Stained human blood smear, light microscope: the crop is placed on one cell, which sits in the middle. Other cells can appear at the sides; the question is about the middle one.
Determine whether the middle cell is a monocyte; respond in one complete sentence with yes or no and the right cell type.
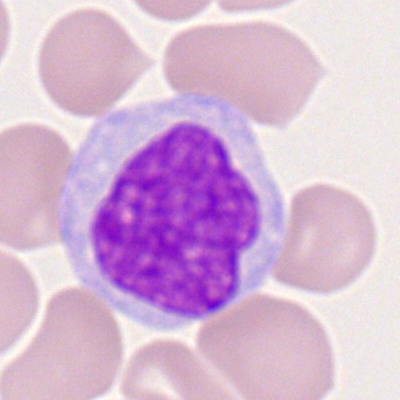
Yes, the middle of the crop is occupied by a monocyte.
